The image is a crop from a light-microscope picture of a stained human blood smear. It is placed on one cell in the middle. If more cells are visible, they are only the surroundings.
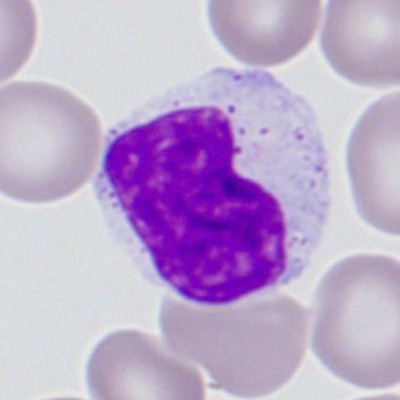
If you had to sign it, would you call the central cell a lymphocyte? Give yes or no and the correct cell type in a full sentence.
Yes, it is a lymphocyte that lies in the middle.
